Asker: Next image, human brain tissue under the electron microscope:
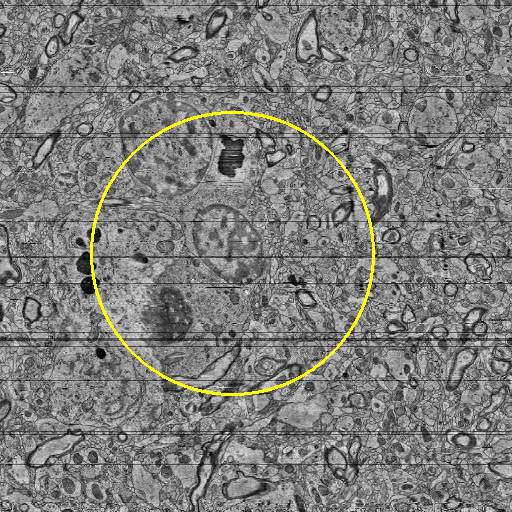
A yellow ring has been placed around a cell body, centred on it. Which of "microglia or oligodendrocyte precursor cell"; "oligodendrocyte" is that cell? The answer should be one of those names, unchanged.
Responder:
oligodendrocyte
